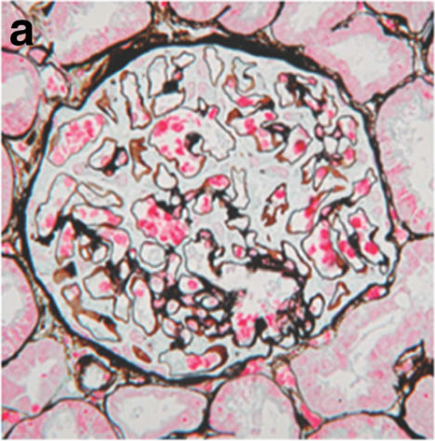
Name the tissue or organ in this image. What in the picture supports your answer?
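A round tuft of looping capillaries sits within a capsule outlined in black. Cross-sectioned tubules surround the capsule. On this evidence: Glomeruli.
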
